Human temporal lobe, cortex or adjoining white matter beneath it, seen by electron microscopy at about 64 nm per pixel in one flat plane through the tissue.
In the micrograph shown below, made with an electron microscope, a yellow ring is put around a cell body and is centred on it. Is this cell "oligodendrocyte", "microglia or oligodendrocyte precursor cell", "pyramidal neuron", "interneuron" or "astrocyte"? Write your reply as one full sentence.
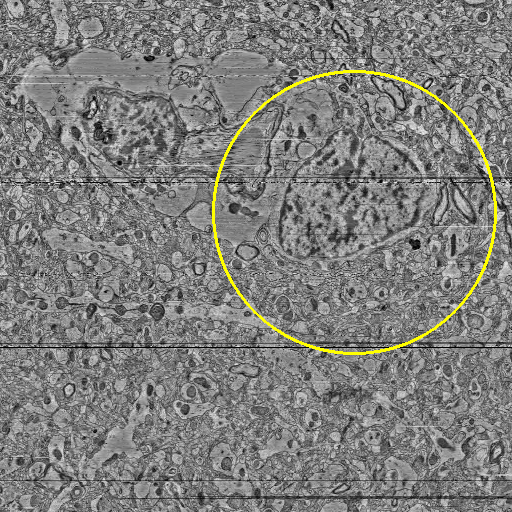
In the micrograph, a microglial cell or oligodendrocyte precursor cell is the cell at the centre of the yellow ring.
